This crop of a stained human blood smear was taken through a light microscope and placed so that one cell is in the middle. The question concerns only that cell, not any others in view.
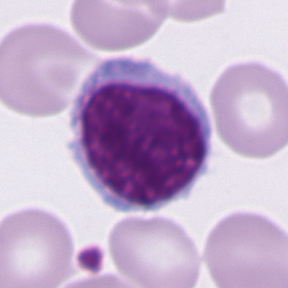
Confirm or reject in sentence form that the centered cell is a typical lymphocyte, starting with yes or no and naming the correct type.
Yes, the centre of the crop holds a typical lymphocyte.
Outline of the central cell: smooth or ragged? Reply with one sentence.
This cell does not have a smooth edge; it is ragged or extended into projections.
